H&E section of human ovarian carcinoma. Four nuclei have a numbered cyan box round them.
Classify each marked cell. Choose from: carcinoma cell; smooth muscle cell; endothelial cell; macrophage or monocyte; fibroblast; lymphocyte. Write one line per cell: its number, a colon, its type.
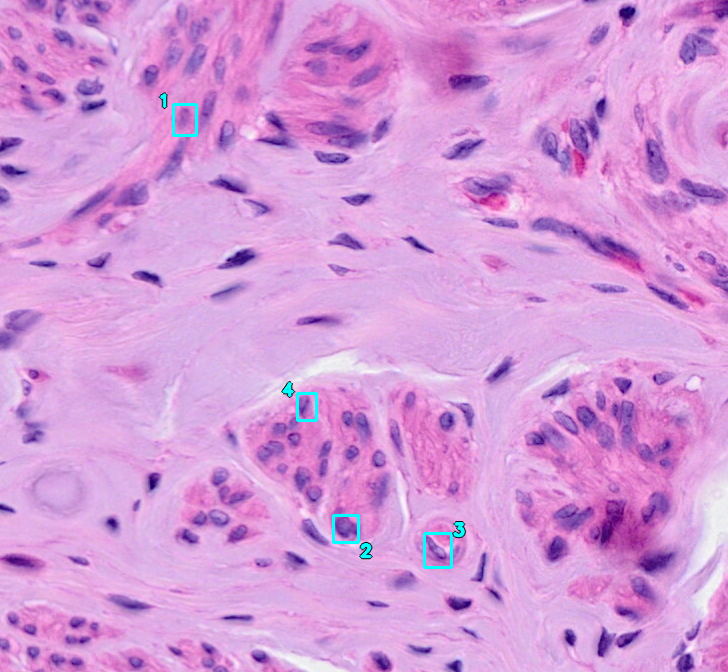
1: smooth muscle cell
2: smooth muscle cell
3: endothelial cell
4: smooth muscle cell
